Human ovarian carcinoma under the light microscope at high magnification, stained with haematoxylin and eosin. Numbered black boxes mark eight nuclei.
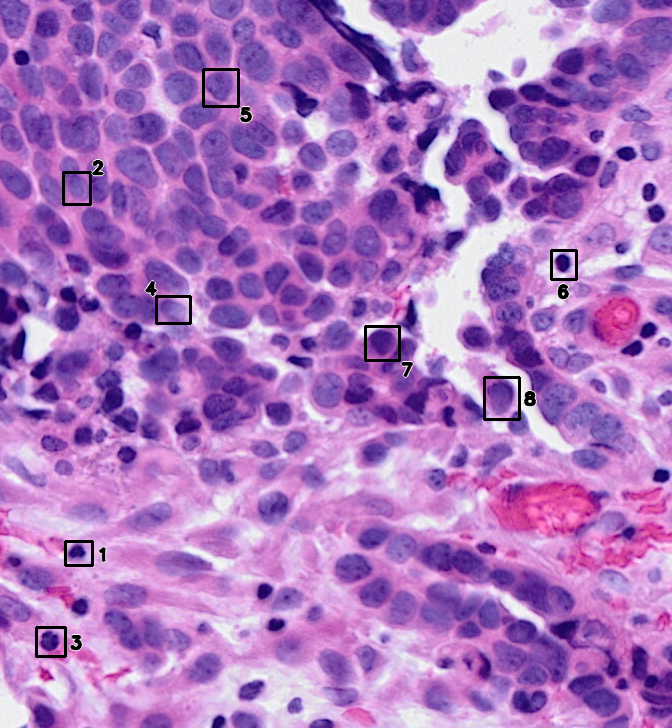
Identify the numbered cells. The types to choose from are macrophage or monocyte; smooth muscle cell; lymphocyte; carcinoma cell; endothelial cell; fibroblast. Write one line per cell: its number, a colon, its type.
1: lymphocyte
2: carcinoma cell
3: lymphocyte
4: carcinoma cell
5: carcinoma cell
6: lymphocyte
7: carcinoma cell
8: carcinoma cell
